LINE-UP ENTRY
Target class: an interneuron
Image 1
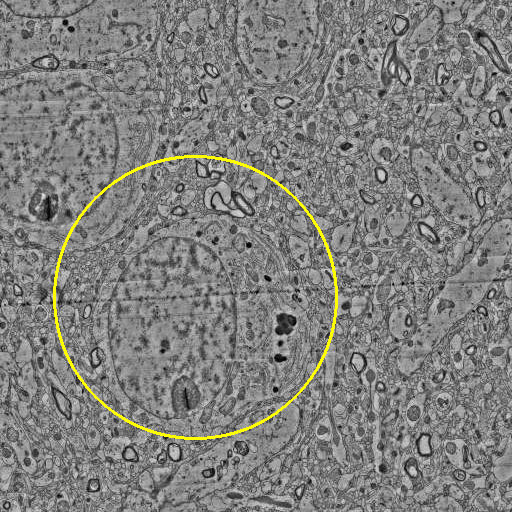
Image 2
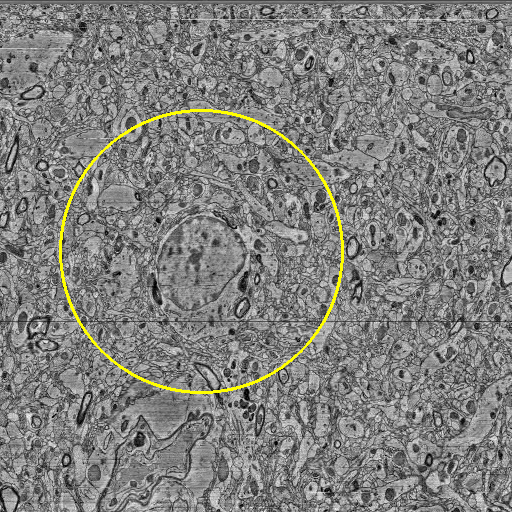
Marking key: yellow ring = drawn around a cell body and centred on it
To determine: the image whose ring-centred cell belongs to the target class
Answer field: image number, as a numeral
1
